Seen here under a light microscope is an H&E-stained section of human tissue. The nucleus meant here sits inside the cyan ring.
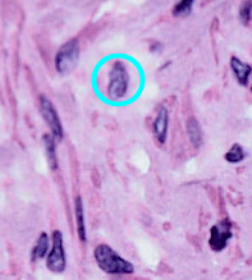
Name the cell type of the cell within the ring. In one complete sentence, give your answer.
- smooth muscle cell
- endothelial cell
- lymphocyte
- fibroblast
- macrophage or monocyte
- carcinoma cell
Among the cells in this section, the cell within the ring is a fibroblast.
